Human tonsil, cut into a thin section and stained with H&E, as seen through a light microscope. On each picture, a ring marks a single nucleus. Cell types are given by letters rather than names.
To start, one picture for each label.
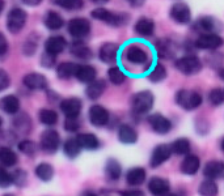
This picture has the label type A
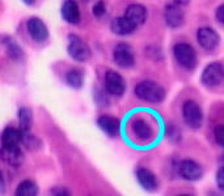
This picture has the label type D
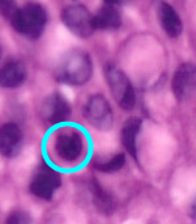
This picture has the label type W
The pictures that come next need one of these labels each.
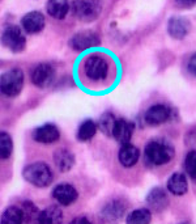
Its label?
type D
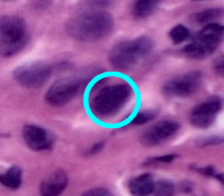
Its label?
type W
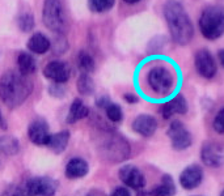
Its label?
type D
